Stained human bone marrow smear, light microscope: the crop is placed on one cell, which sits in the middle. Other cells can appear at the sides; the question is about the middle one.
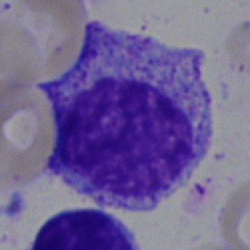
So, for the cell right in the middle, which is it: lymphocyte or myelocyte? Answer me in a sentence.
In the middle of this smear crop is a myelocyte.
